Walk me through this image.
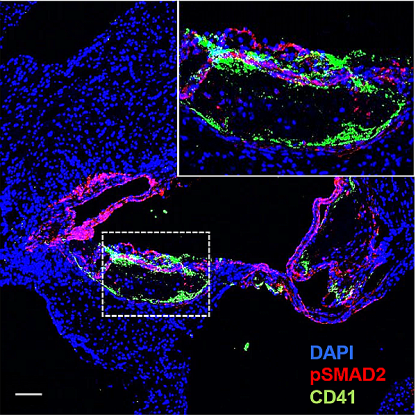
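This cross-section of the aortic root shows a lumen bordered by thin folded tissue and a wall rich in blue nuclei. Elongated plaques project from the inner wall, their outlines traced by red signal. The inset enlarges one plaque, where bright green patches run along its borders next to the red lining, while its interior holds only scattered blue nuclei.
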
